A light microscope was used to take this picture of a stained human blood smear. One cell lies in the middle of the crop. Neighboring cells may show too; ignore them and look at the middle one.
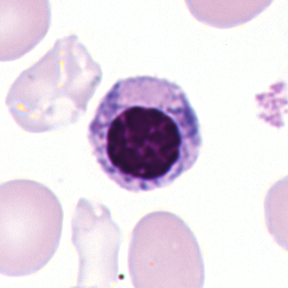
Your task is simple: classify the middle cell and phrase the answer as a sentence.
Looking at the middle of the crop, the cell there is a normoblast.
